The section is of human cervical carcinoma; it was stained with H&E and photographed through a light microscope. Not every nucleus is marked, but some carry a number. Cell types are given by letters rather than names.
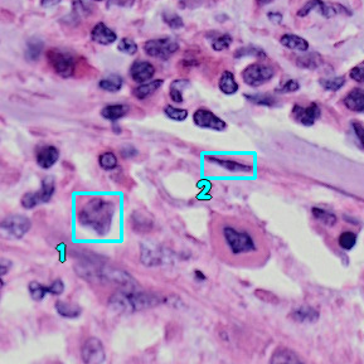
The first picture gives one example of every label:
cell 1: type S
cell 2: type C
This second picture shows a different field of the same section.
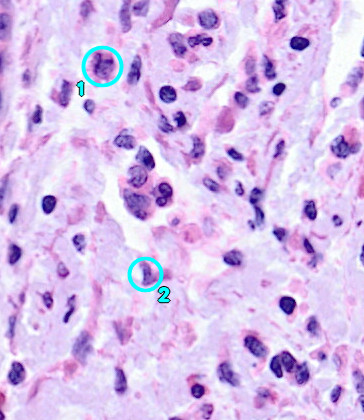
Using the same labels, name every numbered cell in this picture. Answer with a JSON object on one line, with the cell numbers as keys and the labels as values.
{"1": "type S", "2": "type C"}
